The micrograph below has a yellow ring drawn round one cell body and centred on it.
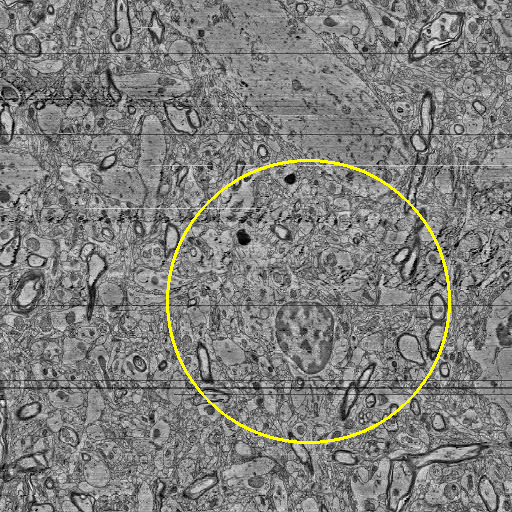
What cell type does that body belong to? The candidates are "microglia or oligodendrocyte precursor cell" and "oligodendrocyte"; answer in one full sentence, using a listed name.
This is a microglial cell or oligodendrocyte precursor cell, the cell whose body lies at the centre of the ring.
